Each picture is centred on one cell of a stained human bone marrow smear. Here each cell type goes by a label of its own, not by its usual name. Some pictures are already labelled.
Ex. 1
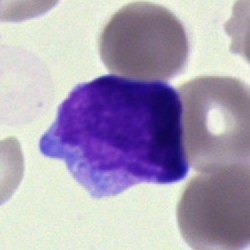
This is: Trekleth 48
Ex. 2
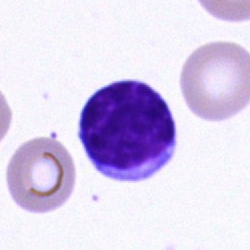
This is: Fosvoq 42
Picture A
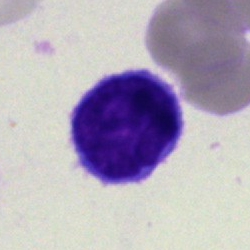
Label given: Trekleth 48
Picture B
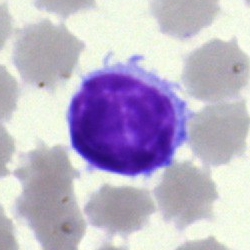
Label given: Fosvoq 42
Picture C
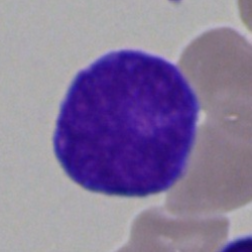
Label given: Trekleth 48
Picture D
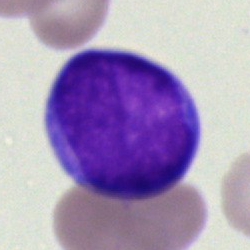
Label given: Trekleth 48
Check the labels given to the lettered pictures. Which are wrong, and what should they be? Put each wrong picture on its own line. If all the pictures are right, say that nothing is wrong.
A: Fosvoq 42, not Trekleth 48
